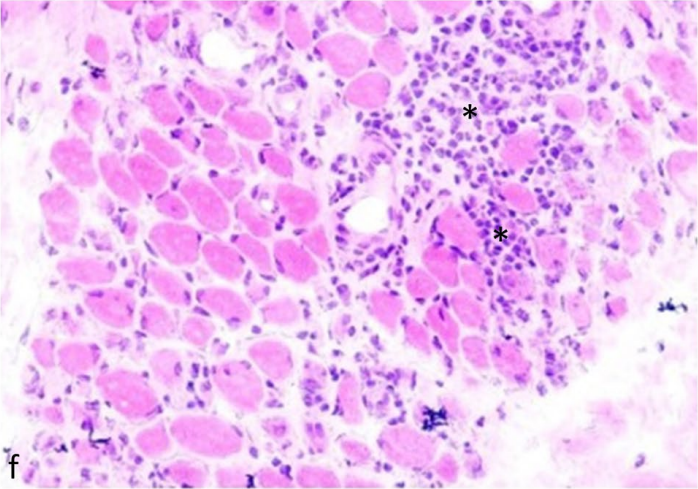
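Skeletal muscle fibers are seen in cross-section as pink, rounded profiles of clearly differing size, separated by widened pale spaces. Between and around them, especially in the upper right and center, lie dense clusters of small cells with round, dark-purple nuclei and scant cytoplasm, spreading between single fibers and around groups of them. Some fibers look smaller and paler, surrounded by these cells. This is muscle with marked infiltration of inflammatory cells in the connective tissue around fascicles and between single fibers, with myopathic change such as variation in fiber size.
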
